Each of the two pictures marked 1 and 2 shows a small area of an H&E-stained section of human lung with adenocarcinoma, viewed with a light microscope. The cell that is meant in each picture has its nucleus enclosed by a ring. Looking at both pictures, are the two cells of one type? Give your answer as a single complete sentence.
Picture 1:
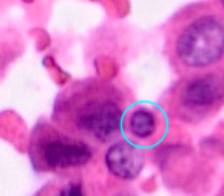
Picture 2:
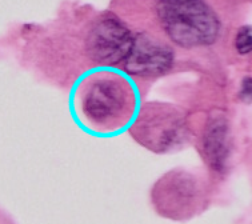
No; the cell in picture 1 is a lymphocyte, while the one in picture 2 is a carcinoma cell.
